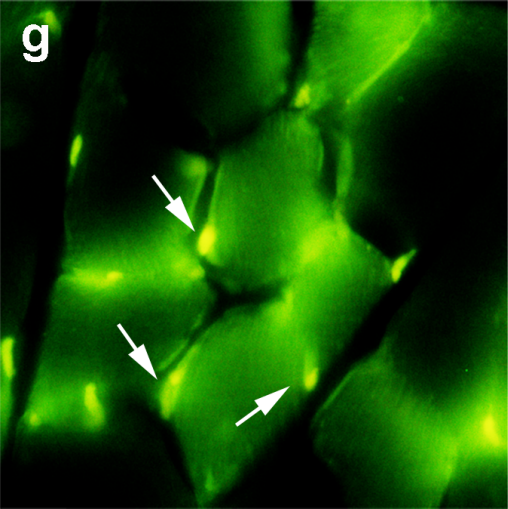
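This is skeletal muscle cut across and obliquely, showing large polygonal muscle fibres packed closely together. Small, bright, oval nuclei sit at the edges of the fibres, pressed against their borders.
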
